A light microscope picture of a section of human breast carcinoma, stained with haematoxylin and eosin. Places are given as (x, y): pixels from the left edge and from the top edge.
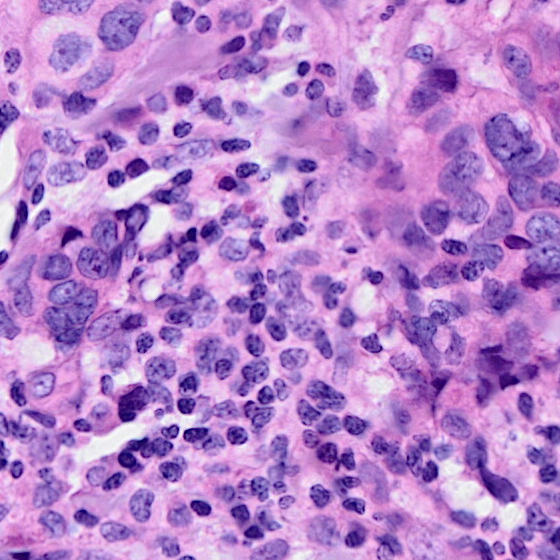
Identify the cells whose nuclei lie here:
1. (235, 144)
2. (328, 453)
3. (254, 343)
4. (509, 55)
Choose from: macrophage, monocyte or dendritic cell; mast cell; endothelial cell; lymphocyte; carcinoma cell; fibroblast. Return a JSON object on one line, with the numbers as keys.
{"1": "lymphocyte", "2": "lymphocyte", "3": "lymphocyte", "4": "endothelial cell"}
